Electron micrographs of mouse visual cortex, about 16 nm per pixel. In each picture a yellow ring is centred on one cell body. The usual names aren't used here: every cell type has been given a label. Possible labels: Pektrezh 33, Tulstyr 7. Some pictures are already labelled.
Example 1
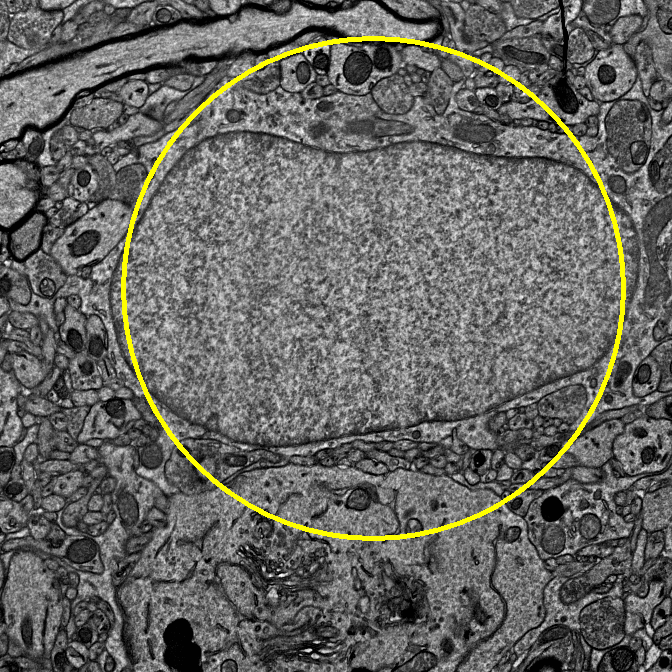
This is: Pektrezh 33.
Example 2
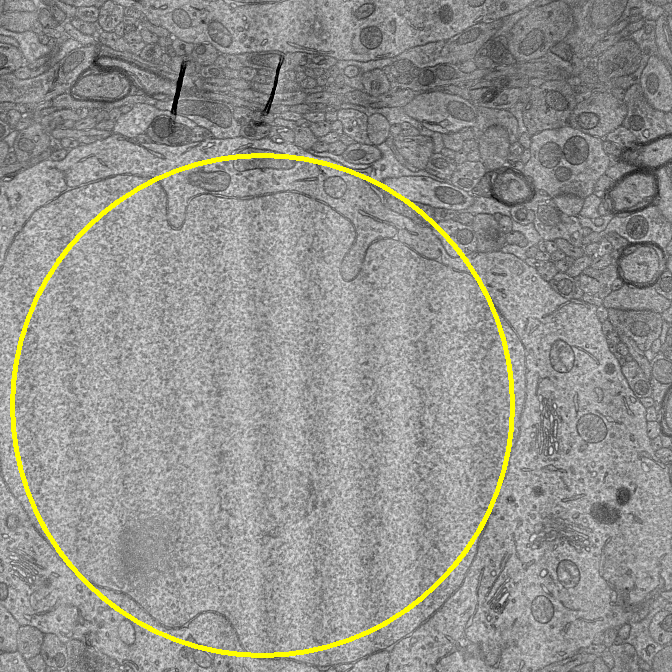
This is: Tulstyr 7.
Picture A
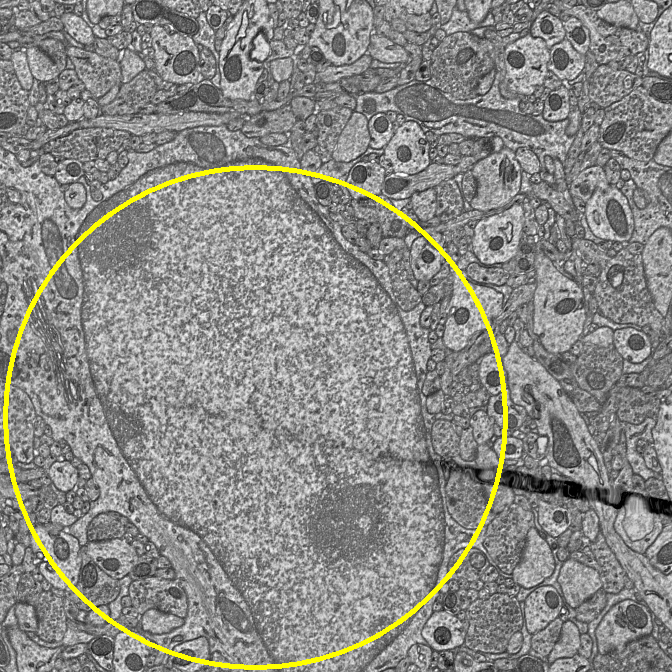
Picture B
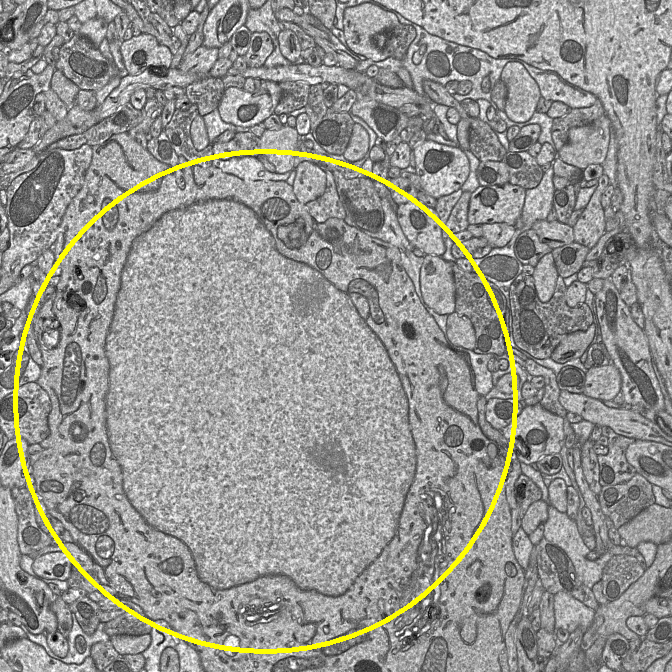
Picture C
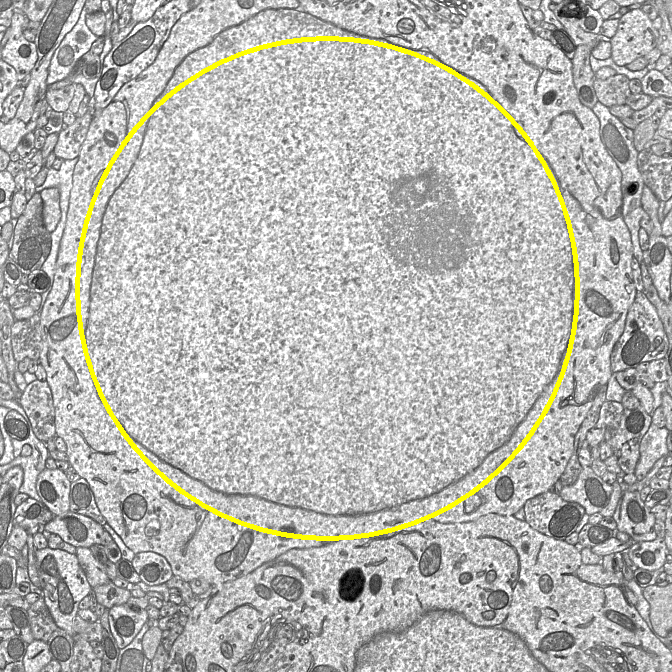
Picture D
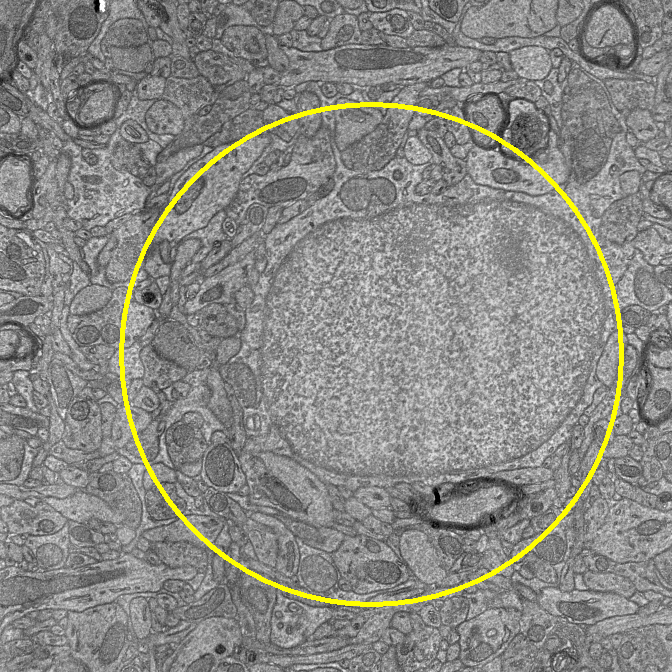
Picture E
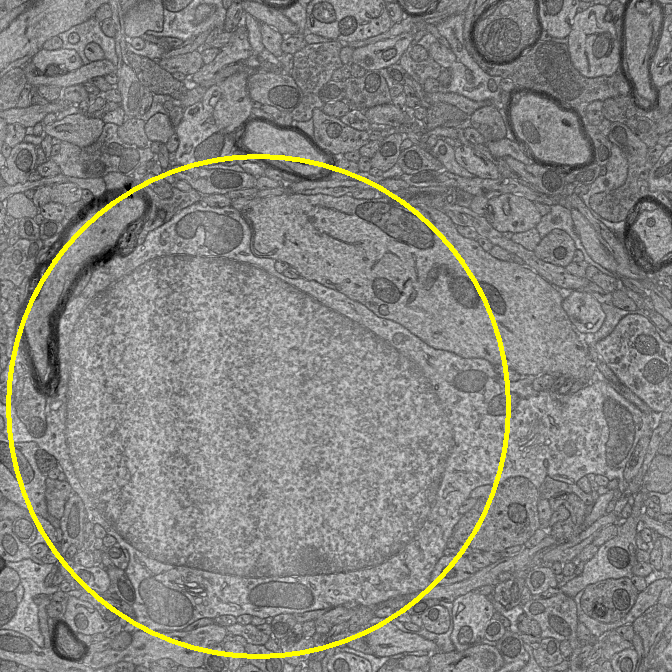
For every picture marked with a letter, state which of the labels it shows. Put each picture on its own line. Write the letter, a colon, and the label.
A: Pektrezh 33.
B: Tulstyr 7.
C: Tulstyr 7.
D: Pektrezh 33.
E: Pektrezh 33.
